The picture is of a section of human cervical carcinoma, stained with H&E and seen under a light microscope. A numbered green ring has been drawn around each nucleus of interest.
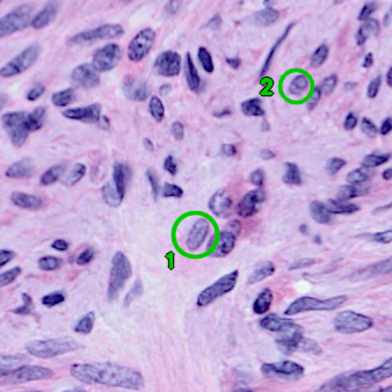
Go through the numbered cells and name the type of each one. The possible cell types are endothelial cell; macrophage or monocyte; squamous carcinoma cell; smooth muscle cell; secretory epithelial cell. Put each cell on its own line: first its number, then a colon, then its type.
1: endothelial cell
2: smooth muscle cell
